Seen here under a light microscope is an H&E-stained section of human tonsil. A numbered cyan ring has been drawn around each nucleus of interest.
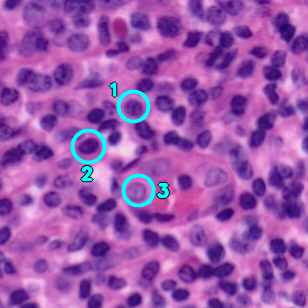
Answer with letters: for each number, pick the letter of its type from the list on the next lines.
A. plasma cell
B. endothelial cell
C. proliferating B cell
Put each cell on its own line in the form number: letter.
1: A
2: A
3: B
